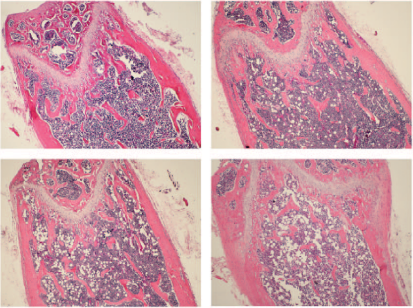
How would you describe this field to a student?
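These are low-power sections through the end of a long bone. A pale, cross-running band of growth cartilage separates the end of the bone from the metaphysis. Beneath the band, pink bony trabeculae and cortex enclose marrow that stains densely purple with its many small nucleated cells. Among the marrow cells lie numerous round, clear white holes of fairly even size. In some of the sections these empty spaces are more crowded, giving the marrow a lacy look.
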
